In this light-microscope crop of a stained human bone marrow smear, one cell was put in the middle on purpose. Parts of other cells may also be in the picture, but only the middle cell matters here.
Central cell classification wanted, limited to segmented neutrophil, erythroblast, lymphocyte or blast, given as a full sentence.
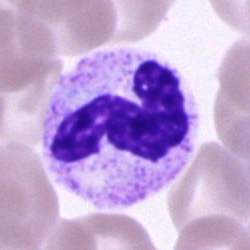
Looking at the middle of the crop, the cell there is a segmented neutrophil.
